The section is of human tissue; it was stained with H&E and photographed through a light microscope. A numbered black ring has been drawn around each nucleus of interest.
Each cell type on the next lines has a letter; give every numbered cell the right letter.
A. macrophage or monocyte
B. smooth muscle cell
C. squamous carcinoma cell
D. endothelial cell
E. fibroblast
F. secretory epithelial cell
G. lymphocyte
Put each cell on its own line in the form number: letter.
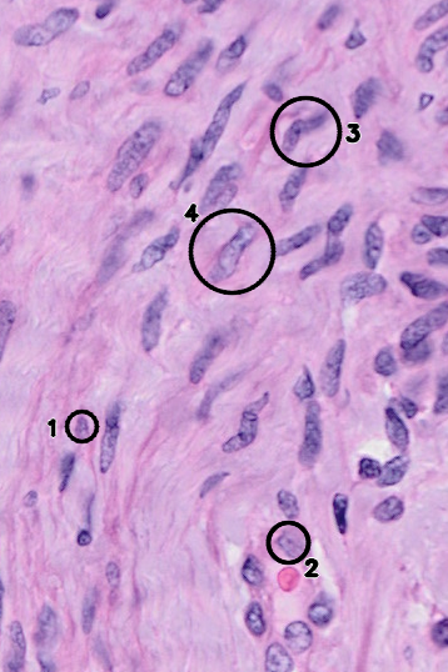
1: B
2: D
3: B
4: B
